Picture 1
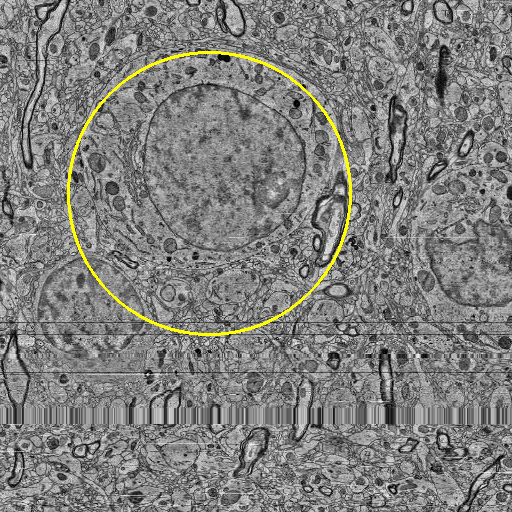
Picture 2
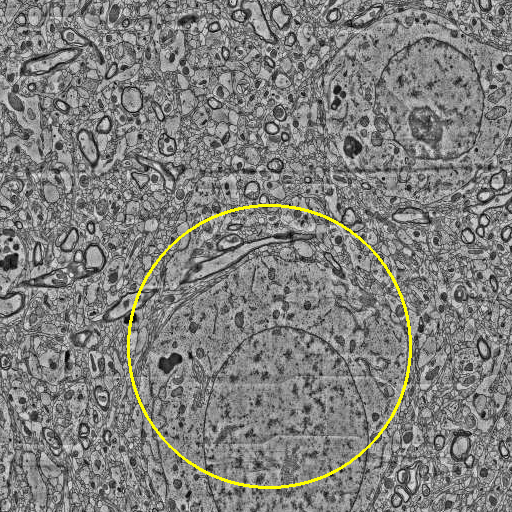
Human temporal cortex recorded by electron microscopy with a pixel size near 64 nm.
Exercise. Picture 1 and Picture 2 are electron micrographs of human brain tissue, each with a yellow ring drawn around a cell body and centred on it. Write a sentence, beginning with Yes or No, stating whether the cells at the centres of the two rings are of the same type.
No, the cells at the centres of the rings are of two types.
